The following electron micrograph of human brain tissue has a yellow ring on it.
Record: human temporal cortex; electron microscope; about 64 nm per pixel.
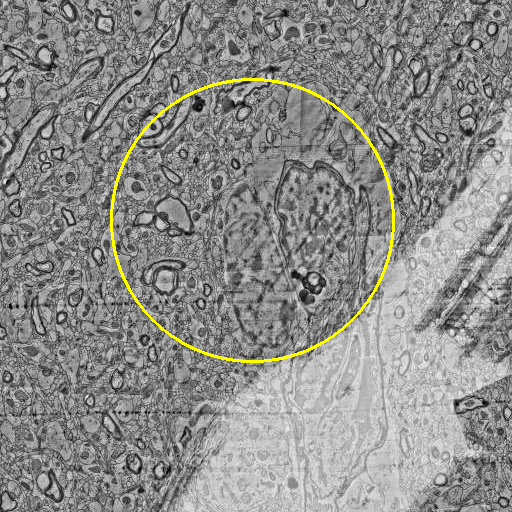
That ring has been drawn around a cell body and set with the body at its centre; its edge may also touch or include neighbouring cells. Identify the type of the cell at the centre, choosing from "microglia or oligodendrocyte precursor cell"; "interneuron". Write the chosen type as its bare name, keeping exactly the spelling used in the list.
microglia or oligodendrocyte precursor cell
